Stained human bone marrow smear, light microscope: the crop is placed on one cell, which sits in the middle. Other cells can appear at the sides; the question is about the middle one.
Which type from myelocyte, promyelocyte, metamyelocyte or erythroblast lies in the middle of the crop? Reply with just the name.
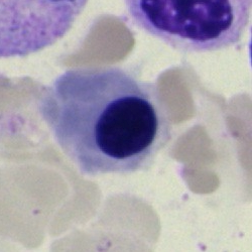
erythroblast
